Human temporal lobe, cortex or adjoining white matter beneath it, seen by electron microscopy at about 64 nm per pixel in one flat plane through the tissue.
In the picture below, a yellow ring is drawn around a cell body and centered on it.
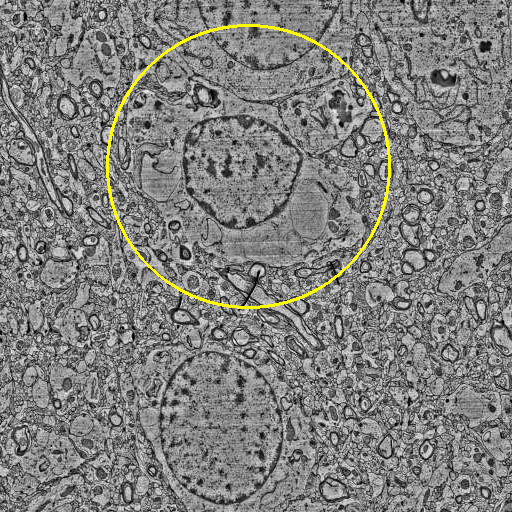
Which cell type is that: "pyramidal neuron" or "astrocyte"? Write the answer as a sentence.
The cell centered in the ring is an astrocyte.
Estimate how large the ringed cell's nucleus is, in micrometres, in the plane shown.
Roughly 7 micrometres across, measured in this plane.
